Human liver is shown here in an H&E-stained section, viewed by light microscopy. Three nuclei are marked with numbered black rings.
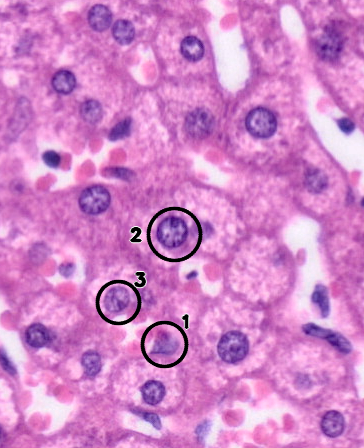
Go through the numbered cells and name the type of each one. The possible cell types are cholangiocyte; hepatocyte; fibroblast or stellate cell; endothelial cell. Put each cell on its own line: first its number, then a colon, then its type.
1: endothelial cell
2: hepatocyte
3: hepatocyte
